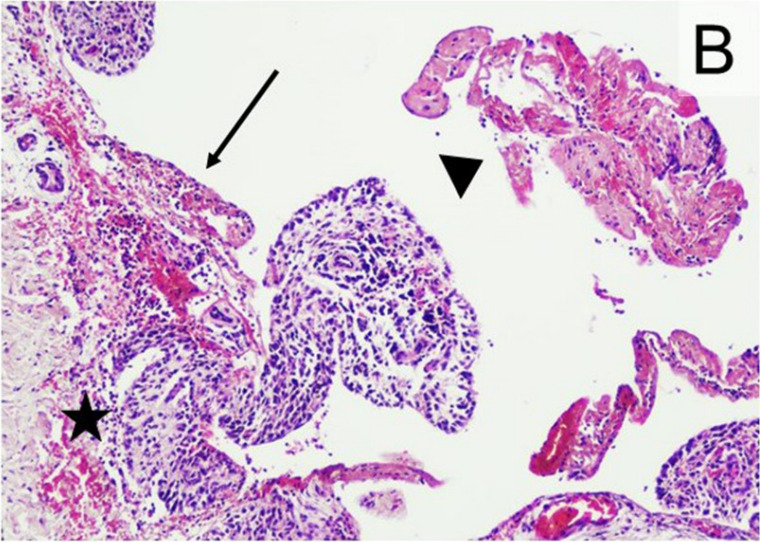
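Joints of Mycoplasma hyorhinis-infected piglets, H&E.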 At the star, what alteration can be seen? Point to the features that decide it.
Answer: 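The star lies in a field of bright red erythrocytes spread freely through the tissue. No vessel wall encloses the red cells there. On this evidence: acute hemorrhages.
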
